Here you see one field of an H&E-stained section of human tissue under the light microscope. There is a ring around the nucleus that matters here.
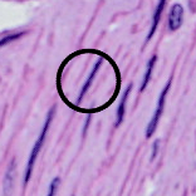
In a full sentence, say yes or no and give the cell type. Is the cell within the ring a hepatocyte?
No, the cell within the ring is correctly named a fibroblast; it is not a hepatocyte.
